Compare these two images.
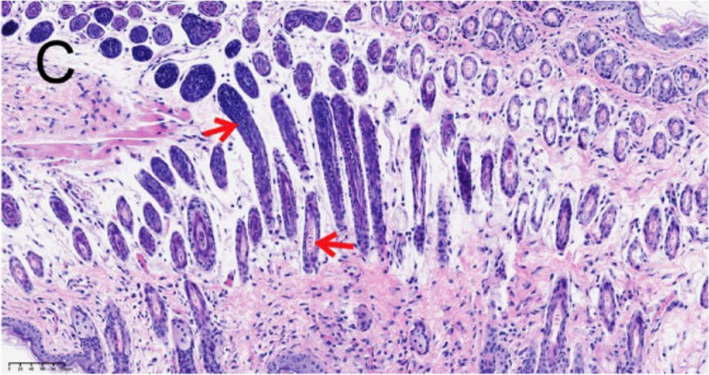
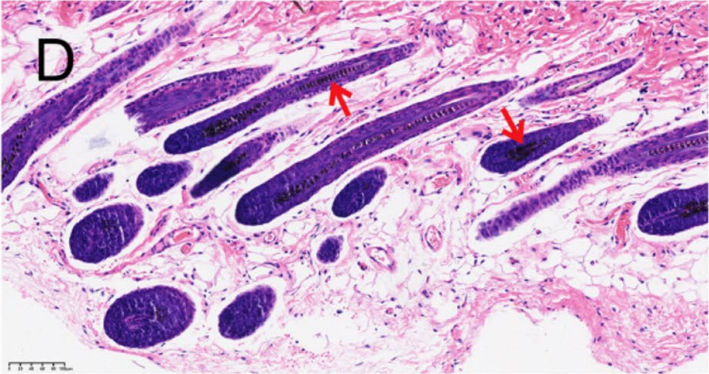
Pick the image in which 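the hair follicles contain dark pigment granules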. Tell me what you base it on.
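The second image. First image: the hair follicles are purple throughout with no dark granules. Second image: dark brown-black granules line the centre of the hair follicles.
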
